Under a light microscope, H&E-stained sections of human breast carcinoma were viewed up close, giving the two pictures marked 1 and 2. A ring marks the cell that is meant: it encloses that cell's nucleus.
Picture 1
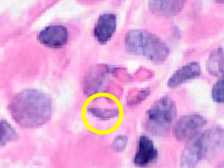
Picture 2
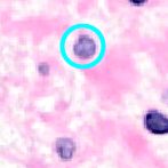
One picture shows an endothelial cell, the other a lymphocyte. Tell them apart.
1: endothelial cell
2: lymphocyte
